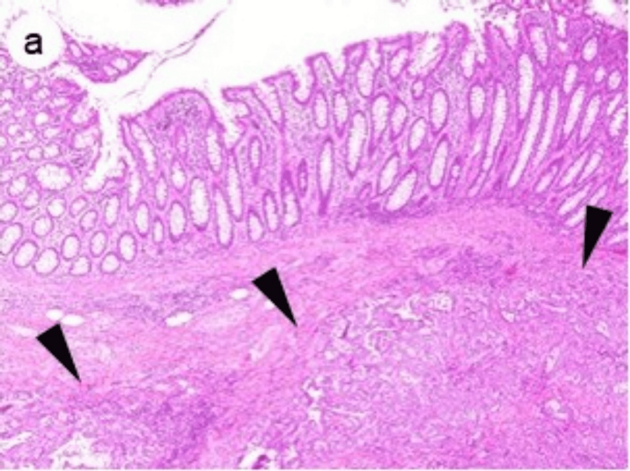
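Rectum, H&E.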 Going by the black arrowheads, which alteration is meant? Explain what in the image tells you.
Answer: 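Adenocarcinoma infiltrating the submucosa. Regular crypts of intact mucosa line the top of the panel. Below the mucosa, irregular glands set in pink stroma fill the lower part.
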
